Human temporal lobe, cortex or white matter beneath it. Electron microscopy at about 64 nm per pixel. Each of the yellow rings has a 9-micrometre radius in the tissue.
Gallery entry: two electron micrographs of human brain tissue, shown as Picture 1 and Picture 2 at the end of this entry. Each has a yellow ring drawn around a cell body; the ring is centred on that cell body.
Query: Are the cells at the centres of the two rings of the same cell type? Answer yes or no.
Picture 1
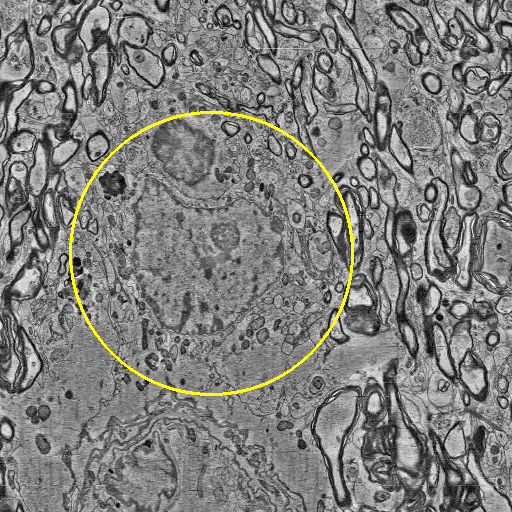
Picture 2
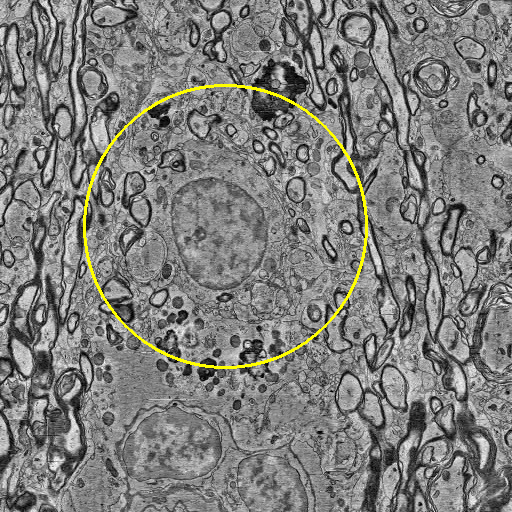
no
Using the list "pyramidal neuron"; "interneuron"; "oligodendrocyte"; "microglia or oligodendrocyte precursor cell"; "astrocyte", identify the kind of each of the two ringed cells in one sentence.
The first is an astrocyte and the second is an oligodendrocyte.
